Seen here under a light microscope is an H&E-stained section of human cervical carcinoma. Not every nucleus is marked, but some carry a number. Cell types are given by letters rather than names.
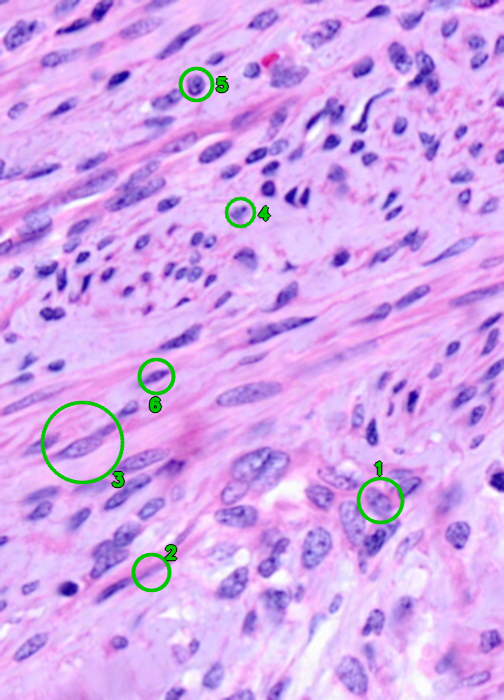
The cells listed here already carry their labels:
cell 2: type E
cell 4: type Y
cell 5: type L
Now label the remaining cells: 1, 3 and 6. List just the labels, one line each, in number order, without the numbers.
type E
type Y
type Y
